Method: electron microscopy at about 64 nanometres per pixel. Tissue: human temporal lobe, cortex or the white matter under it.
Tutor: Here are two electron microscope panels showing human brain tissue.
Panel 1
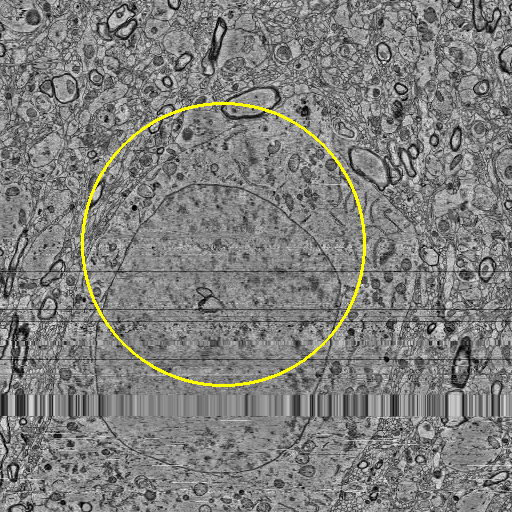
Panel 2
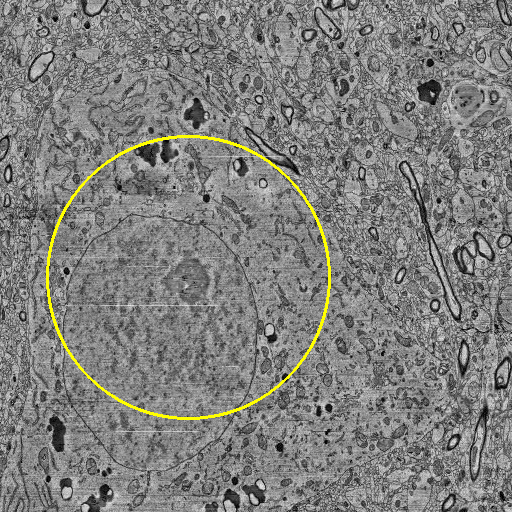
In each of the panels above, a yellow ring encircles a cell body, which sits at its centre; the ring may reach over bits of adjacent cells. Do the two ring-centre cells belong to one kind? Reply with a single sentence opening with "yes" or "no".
Yes, the two cells sitting at the ring centres in the panels belong to one kind.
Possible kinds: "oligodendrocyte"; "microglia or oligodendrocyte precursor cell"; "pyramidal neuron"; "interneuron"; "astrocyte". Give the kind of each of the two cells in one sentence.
Both cells are the same kind, each one being a pyramidal neuron.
